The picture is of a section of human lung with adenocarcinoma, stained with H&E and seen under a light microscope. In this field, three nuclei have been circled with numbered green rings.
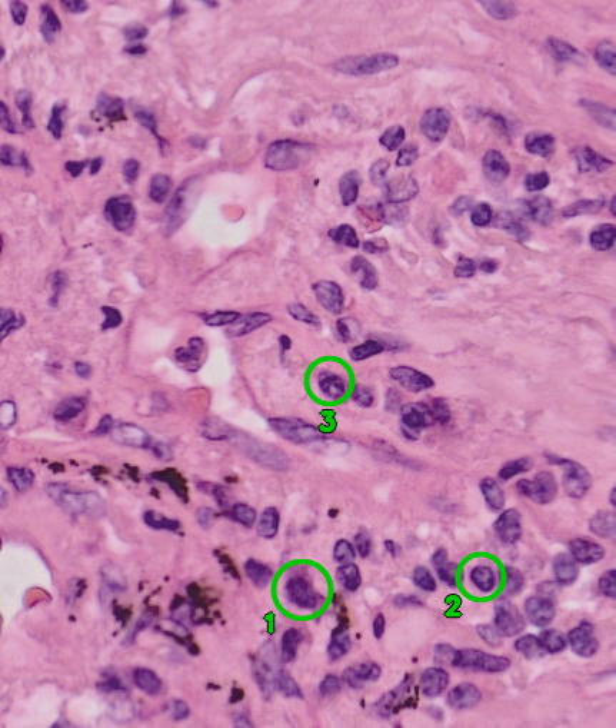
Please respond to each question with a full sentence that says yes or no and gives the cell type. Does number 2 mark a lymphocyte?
Yes, cell number 2 is identified here as a lymphocyte.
